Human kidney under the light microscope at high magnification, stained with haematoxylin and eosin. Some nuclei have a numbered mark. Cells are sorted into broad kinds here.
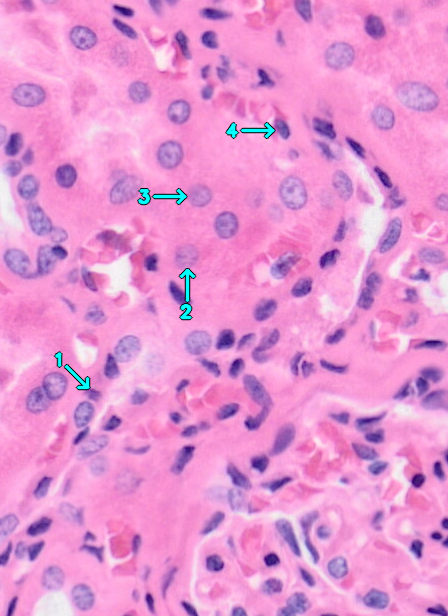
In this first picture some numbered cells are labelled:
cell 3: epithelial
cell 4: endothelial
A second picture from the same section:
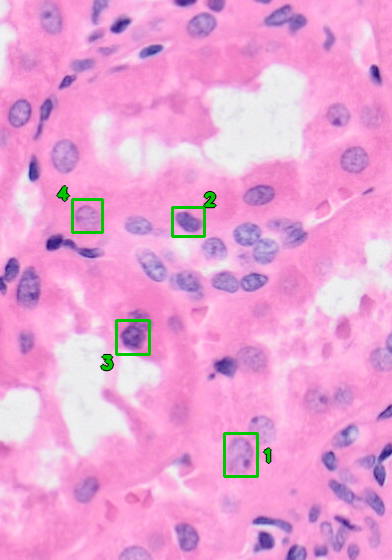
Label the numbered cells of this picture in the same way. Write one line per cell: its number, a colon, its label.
1: epithelial
2: epithelial
3: epithelial
4: epithelial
